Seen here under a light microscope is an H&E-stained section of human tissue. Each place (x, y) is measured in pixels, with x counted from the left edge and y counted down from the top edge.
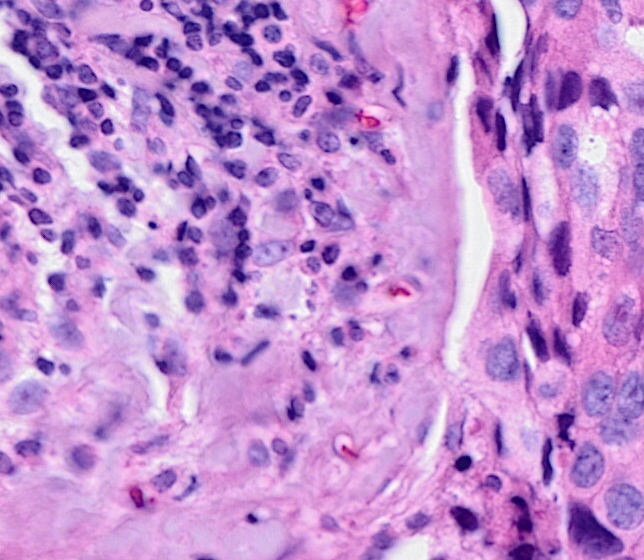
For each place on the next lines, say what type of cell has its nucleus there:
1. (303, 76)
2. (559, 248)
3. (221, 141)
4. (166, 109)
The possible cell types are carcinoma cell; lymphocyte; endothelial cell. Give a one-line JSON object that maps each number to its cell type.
{"1": "lymphocyte", "2": "carcinoma cell", "3": "lymphocyte", "4": "lymphocyte"}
